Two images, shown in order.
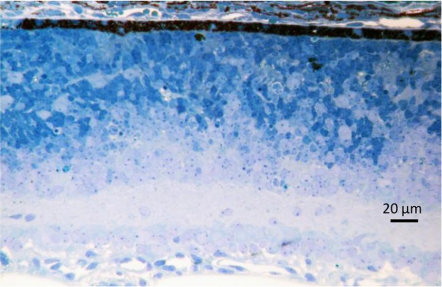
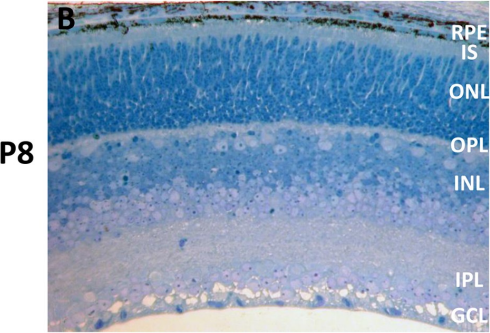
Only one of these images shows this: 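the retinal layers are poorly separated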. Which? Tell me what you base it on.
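The first image. First image: nuclei are scattered without a clear pale plexiform band separating outer and inner nuclear rows. Second image: distinct bands of nuclei are separated by pale plexiform layers.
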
